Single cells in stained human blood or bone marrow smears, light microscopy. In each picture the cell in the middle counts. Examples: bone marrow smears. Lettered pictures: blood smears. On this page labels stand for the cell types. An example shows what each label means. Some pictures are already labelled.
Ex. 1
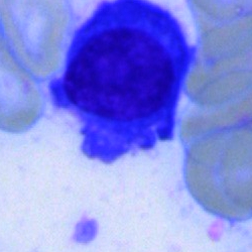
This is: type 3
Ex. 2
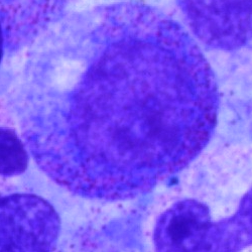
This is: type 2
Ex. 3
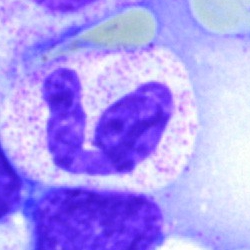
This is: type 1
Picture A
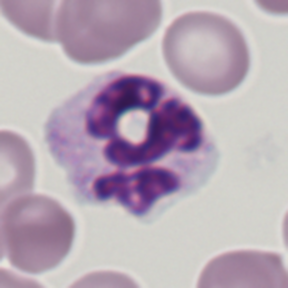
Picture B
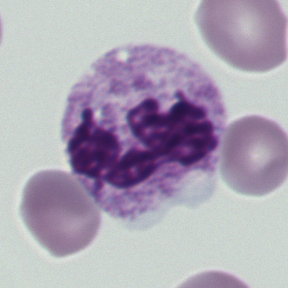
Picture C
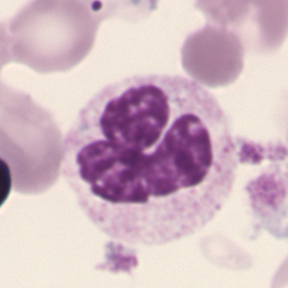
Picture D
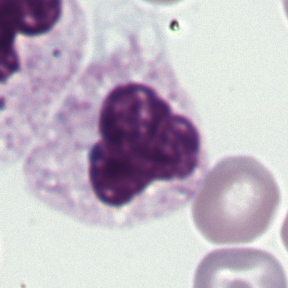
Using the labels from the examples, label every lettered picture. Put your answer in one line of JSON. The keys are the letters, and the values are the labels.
{"A": "type 1", "B": "type 1", "C": "type 1", "D": "type 1"}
